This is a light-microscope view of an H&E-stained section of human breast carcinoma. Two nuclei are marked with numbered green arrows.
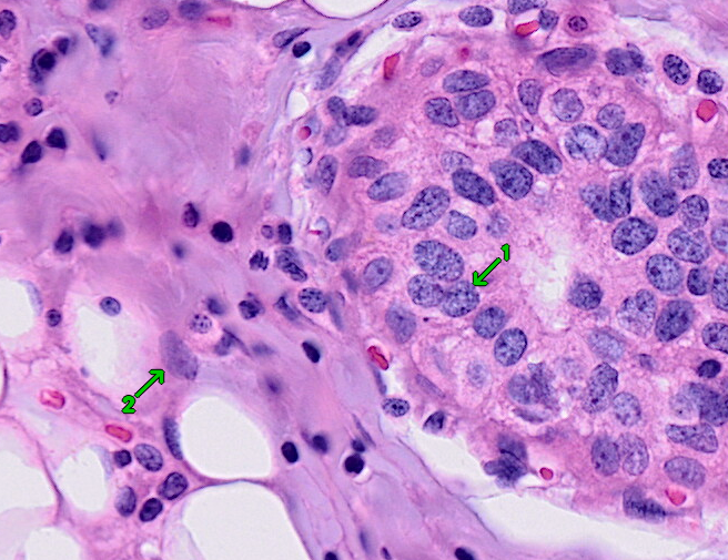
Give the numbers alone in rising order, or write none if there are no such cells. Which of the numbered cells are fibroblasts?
2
